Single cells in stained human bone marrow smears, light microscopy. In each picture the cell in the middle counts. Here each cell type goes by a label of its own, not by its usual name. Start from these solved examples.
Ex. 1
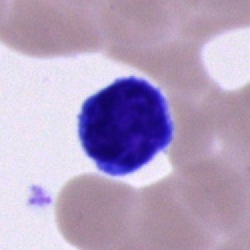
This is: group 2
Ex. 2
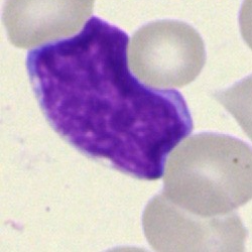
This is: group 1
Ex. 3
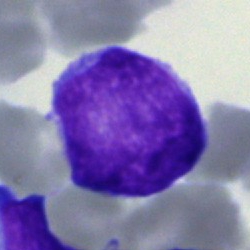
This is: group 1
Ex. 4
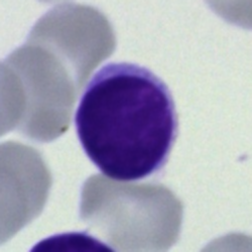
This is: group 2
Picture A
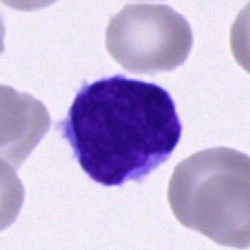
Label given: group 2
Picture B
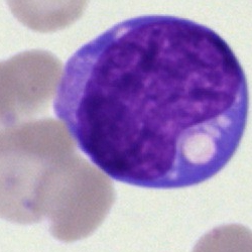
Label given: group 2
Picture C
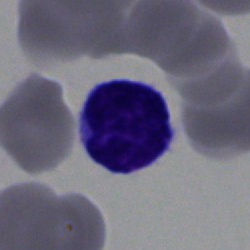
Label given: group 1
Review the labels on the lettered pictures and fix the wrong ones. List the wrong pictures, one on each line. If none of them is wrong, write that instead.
B: change group 2 to group 1
C: change group 1 to group 2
